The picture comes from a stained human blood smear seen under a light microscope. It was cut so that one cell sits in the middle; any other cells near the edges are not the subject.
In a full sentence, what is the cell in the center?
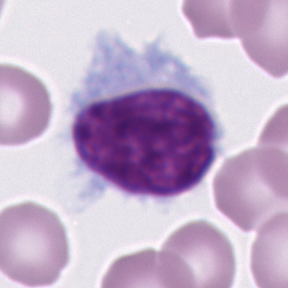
At the crop's centre, the cell is a hairy cell.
